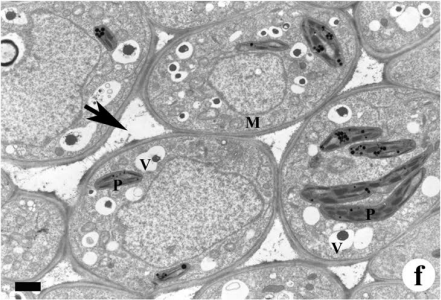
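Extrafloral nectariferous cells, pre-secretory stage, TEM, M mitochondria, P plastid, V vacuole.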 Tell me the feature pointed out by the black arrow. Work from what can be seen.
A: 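The arrow points into a pale empty area between rounded cells. The answer: large intercellular space.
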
